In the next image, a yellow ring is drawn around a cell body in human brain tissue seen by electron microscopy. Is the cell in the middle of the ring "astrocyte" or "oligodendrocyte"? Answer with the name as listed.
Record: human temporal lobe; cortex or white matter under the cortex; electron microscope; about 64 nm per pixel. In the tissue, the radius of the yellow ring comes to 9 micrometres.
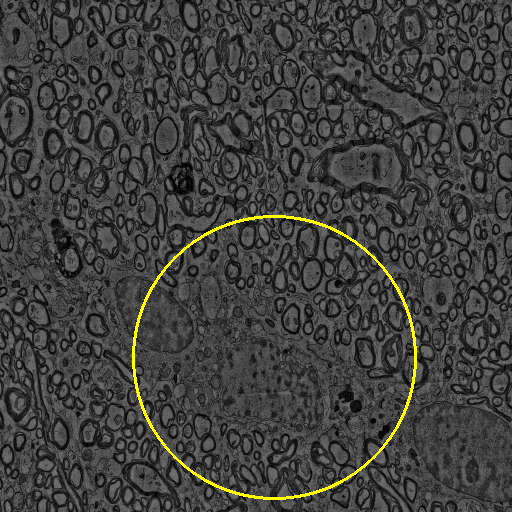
astrocyte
